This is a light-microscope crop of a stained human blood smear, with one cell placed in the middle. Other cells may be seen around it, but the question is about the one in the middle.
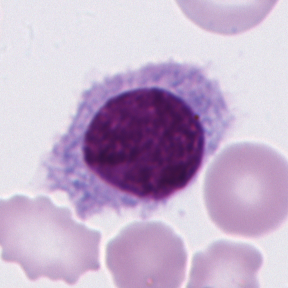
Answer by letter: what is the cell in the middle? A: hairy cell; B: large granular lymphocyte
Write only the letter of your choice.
A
